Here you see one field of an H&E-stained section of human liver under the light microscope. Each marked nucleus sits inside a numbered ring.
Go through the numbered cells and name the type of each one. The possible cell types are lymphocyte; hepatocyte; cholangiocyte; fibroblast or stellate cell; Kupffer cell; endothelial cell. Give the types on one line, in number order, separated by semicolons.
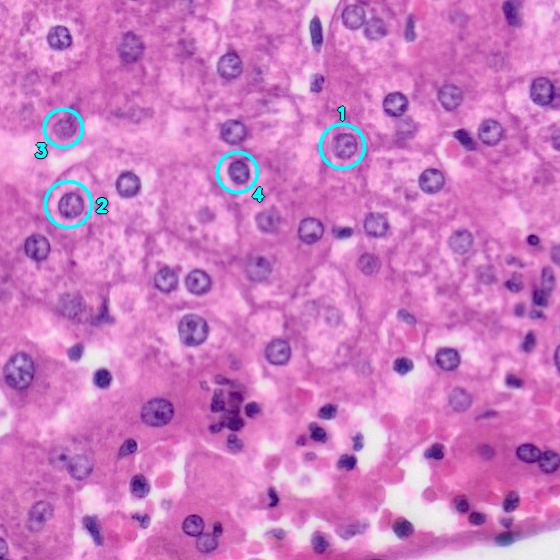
hepatocyte; hepatocyte; Kupffer cell; hepatocyte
